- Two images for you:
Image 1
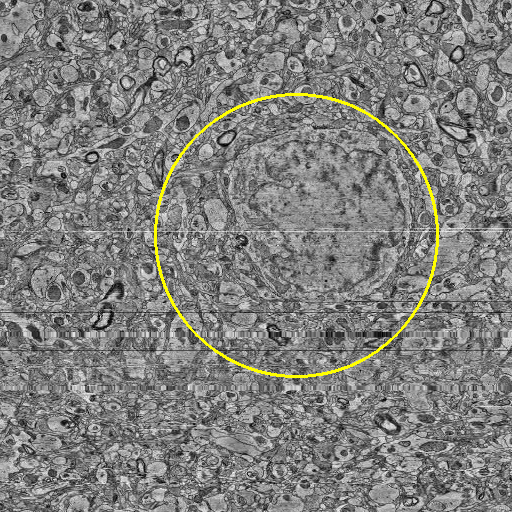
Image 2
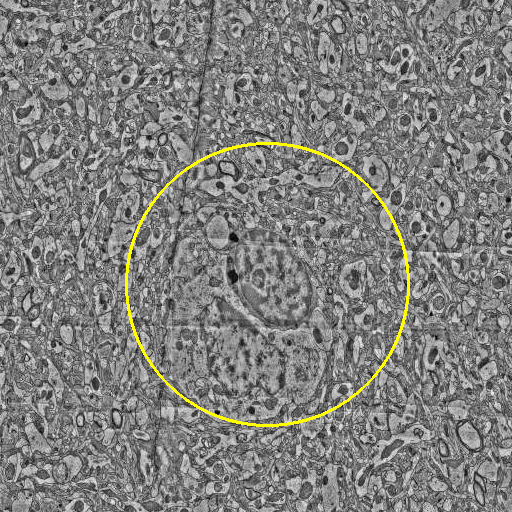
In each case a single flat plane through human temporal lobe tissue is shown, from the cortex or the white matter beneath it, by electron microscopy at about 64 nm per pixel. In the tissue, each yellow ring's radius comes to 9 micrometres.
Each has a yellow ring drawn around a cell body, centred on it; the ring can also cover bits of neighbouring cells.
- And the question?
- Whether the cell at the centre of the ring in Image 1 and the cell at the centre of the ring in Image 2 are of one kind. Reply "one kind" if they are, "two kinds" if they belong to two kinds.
two kinds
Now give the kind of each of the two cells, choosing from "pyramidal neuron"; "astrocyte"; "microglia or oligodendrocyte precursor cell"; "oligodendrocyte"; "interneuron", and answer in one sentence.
The cell in the first picture is an interneuron, and the cell in the second is an oligodendrocyte.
